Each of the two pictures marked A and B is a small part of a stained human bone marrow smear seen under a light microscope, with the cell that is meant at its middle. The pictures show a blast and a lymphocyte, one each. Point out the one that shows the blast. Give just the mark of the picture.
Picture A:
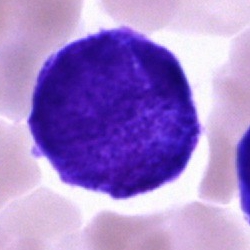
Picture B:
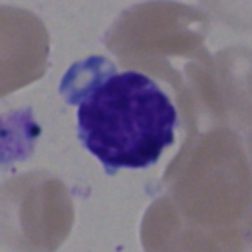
A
